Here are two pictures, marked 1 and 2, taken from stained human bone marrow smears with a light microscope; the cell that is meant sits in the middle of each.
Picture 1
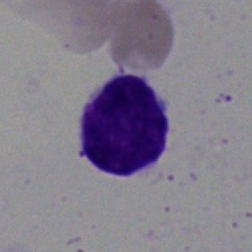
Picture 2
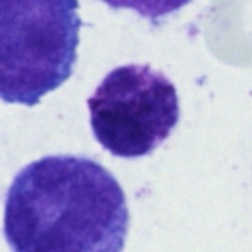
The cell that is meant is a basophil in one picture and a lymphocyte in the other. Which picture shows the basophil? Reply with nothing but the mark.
2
